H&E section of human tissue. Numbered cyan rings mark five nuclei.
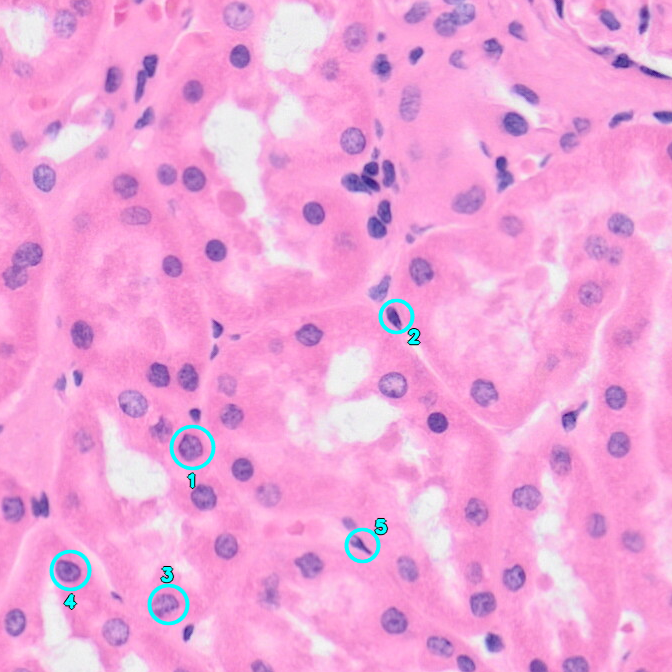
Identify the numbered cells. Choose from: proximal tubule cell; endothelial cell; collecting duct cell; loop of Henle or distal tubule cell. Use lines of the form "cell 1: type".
cell 1: proximal tubule cell
cell 2: endothelial cell
cell 3: proximal tubule cell
cell 4: proximal tubule cell
cell 5: endothelial cell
